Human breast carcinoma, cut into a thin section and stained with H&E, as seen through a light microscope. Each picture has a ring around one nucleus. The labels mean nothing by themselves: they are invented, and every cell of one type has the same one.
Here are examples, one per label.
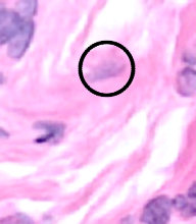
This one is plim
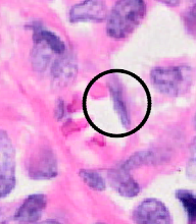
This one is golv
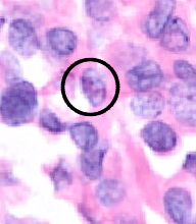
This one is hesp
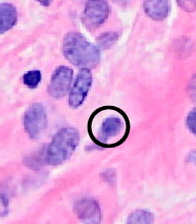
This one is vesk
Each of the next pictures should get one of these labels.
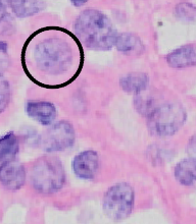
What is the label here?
hesp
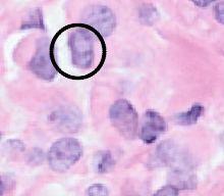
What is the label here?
hesp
